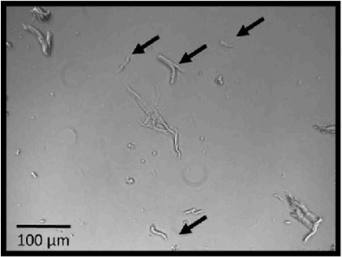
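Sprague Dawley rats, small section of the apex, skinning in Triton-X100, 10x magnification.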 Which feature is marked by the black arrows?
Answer: Myofibrils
